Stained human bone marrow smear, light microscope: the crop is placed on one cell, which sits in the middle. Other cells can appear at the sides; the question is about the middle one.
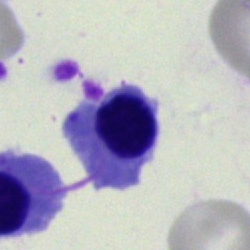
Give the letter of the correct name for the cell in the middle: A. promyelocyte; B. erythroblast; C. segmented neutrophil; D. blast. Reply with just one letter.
B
